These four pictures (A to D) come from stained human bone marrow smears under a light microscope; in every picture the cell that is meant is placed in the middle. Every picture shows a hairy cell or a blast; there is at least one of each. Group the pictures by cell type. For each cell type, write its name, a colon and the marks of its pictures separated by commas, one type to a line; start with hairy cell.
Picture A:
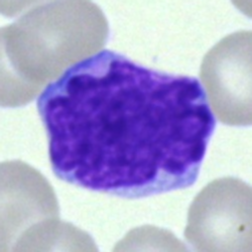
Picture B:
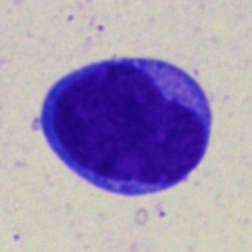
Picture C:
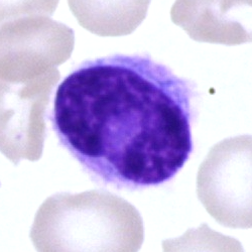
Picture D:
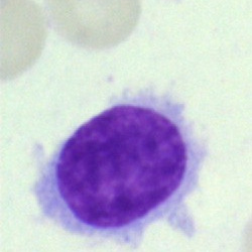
hairy cell: C, D
blast: A, B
